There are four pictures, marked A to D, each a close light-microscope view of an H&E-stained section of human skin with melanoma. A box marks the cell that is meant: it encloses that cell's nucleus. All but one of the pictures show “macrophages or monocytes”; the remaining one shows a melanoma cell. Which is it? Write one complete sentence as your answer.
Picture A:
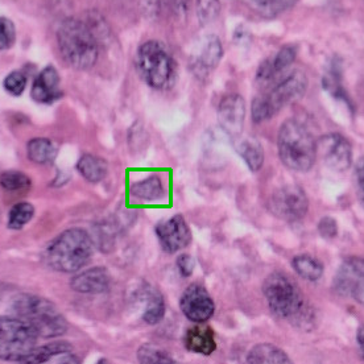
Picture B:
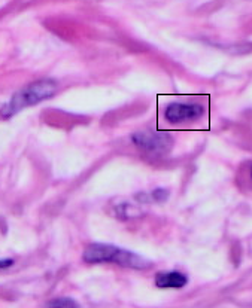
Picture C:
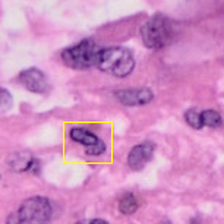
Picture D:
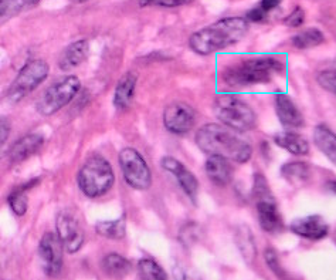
The melanoma cell is the one in picture D.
